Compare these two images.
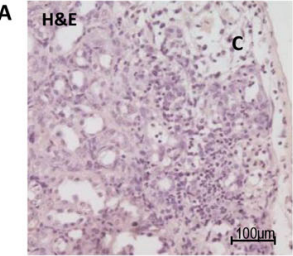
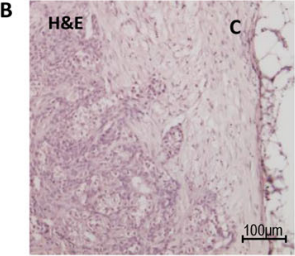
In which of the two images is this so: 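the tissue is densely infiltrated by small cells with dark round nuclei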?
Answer: the first image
